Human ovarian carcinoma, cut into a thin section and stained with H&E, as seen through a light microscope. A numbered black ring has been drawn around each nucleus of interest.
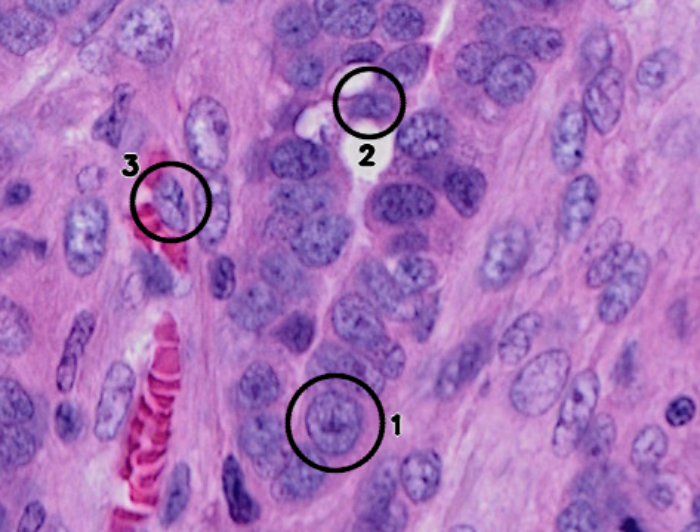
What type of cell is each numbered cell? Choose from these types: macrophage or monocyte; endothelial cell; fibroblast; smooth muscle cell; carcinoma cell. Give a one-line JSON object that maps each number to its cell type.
{"1": "carcinoma cell", "2": "carcinoma cell", "3": "endothelial cell"}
